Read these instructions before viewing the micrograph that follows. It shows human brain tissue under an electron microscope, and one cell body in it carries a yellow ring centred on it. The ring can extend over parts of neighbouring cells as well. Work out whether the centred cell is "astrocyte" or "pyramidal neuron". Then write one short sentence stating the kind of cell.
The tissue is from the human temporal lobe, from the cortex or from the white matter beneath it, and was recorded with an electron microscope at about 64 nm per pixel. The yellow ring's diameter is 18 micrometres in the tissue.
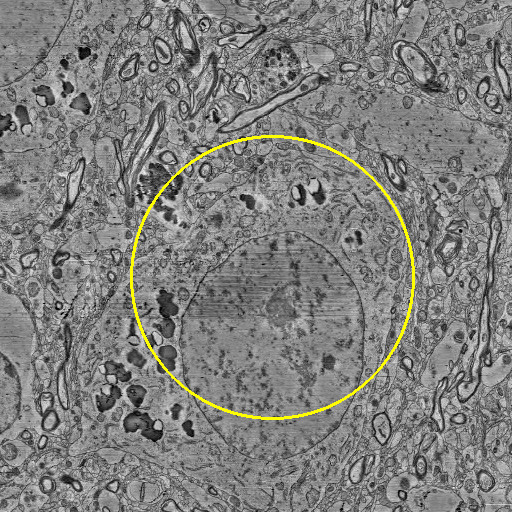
The ringed cell is a pyramidal neuron.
